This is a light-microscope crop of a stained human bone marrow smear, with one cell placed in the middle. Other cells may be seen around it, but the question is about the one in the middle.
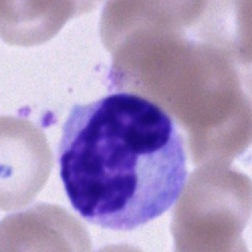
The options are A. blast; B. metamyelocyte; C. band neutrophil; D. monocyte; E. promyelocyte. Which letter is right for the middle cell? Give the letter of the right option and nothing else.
B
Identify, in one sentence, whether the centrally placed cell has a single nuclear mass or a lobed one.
The nuclear material is gathered into one compact round, oval or kidney-shaped mass.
